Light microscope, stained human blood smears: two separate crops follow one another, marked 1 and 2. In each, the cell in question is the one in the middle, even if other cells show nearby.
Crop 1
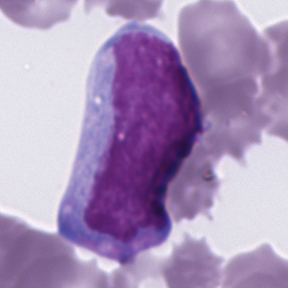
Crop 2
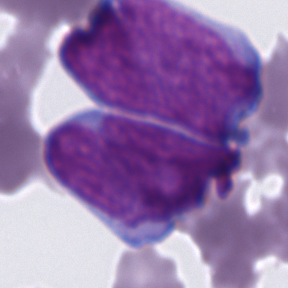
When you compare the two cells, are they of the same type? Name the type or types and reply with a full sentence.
Yes, the central cells in both crops are myeloblasts.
